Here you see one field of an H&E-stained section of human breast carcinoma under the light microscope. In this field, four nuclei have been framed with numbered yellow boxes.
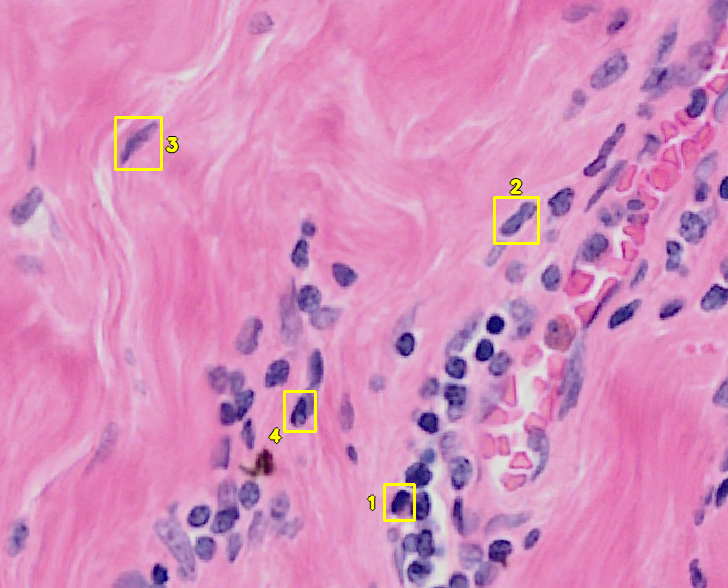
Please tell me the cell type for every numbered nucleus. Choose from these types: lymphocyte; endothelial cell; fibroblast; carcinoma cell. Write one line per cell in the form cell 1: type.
cell 1: lymphocyte
cell 2: lymphocyte
cell 3: fibroblast
cell 4: lymphocyte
